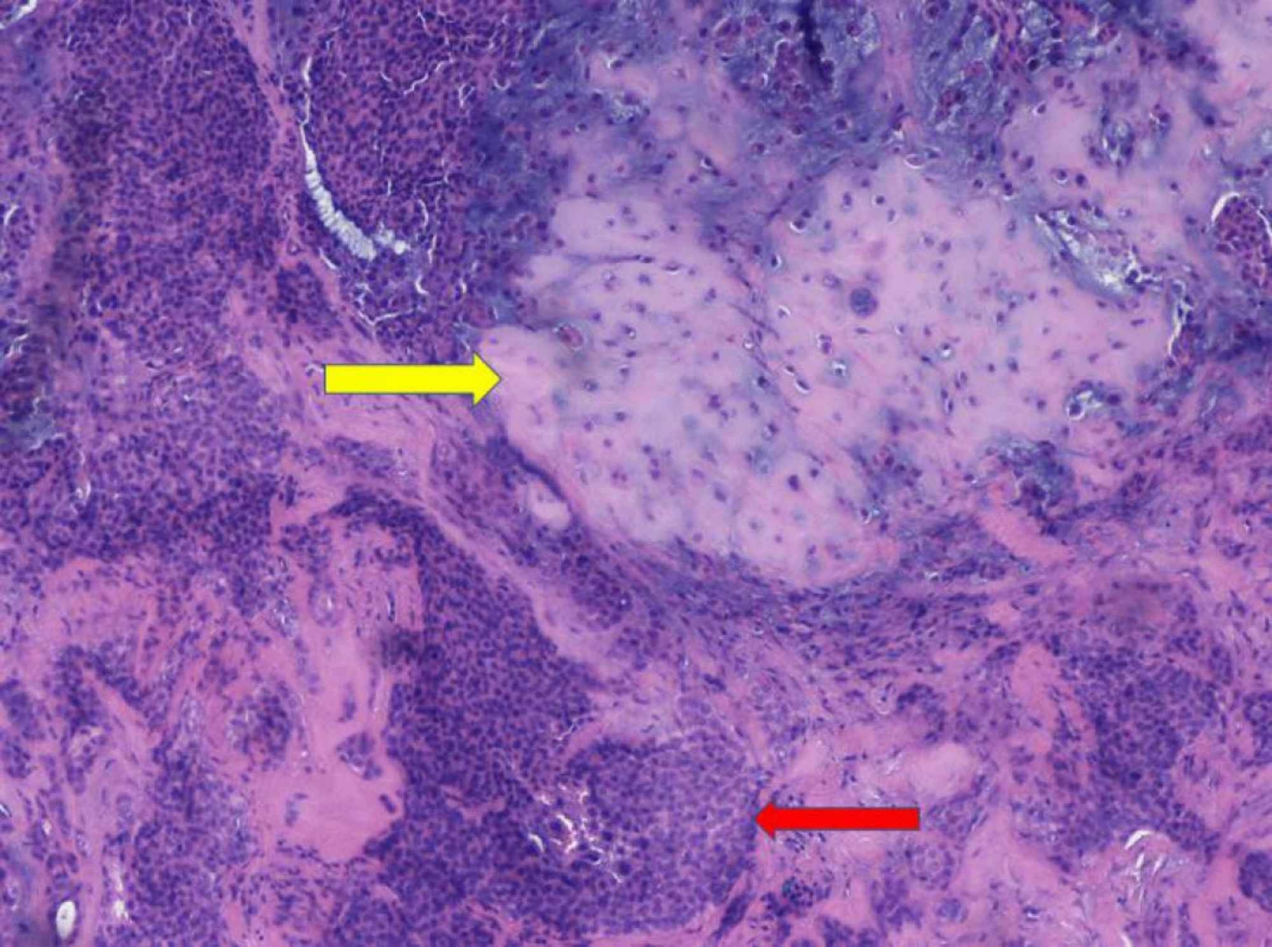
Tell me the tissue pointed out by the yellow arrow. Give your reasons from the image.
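Chondromyxoid stroma. The arrow points at a large pale pink-lilac area of glassy matrix. Scattered cells in this matrix sit singly, some in clear spaces like lacunae. Bluish, mucoid-looking matrix borders this area at its upper edge.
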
